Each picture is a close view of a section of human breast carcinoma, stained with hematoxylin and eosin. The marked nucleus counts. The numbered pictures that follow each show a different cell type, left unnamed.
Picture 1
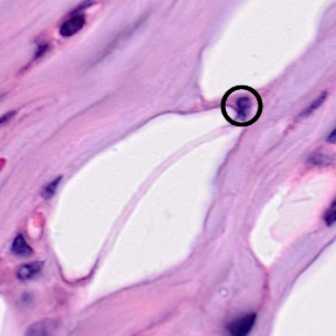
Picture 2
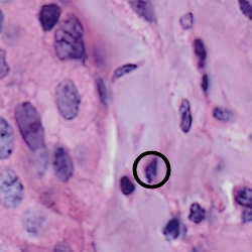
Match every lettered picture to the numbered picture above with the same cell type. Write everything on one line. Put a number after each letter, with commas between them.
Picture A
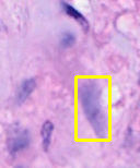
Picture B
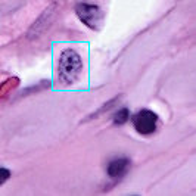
A 1, B 2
